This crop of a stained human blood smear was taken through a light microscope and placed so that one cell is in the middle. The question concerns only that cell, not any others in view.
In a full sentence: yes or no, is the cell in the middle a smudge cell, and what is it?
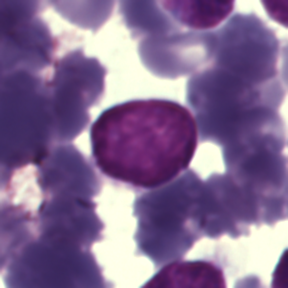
No, rather than being a smudge cell, the central cell is a myeloblast.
